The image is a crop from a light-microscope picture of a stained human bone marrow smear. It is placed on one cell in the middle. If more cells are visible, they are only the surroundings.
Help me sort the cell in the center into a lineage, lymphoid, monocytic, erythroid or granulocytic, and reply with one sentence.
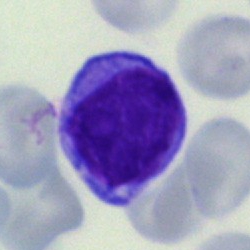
It is the lymphoid lineage to which the central cell belongs.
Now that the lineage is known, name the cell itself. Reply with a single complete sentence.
This particular crop is centered on a lymphocyte.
